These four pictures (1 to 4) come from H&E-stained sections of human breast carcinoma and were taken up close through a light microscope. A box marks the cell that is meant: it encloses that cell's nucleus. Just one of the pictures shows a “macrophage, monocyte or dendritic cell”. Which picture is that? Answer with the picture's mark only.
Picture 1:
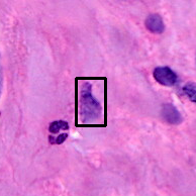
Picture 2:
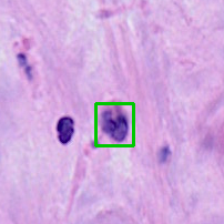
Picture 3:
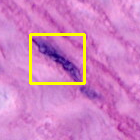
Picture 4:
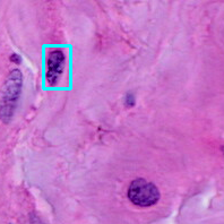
2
